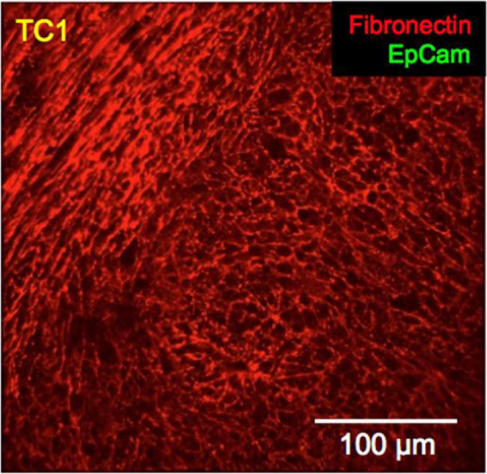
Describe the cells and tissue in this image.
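A tumor slice in which red fluorescence fills the entire field as a dense, continuous meshwork rather than being restricted to septa. In the upper left the red strands are elongated and run roughly in parallel, giving a streaming, fibrous appearance; toward the lower right the meshwork becomes polygonal, outlining small rounded spaces about the size of single cells. No separate nests of epithelial cells with a stromal border can be recognised, and green signal is not evident.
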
